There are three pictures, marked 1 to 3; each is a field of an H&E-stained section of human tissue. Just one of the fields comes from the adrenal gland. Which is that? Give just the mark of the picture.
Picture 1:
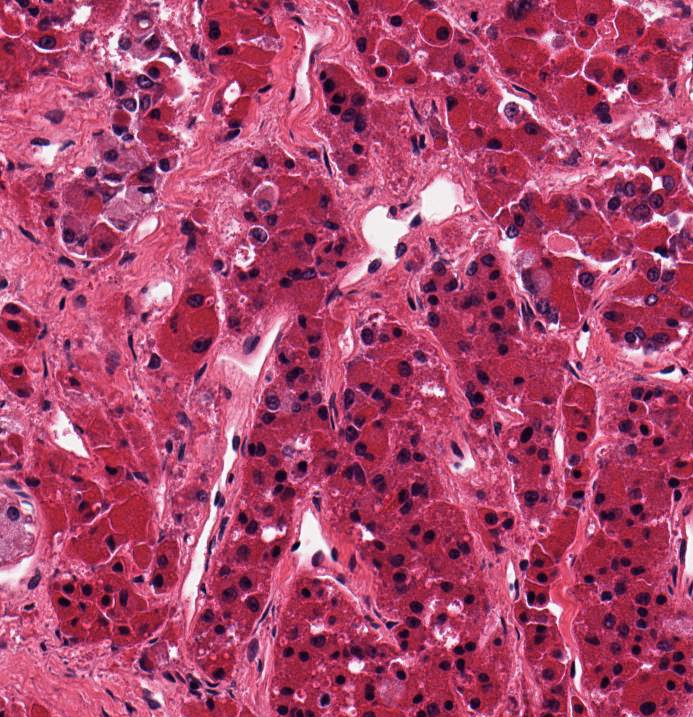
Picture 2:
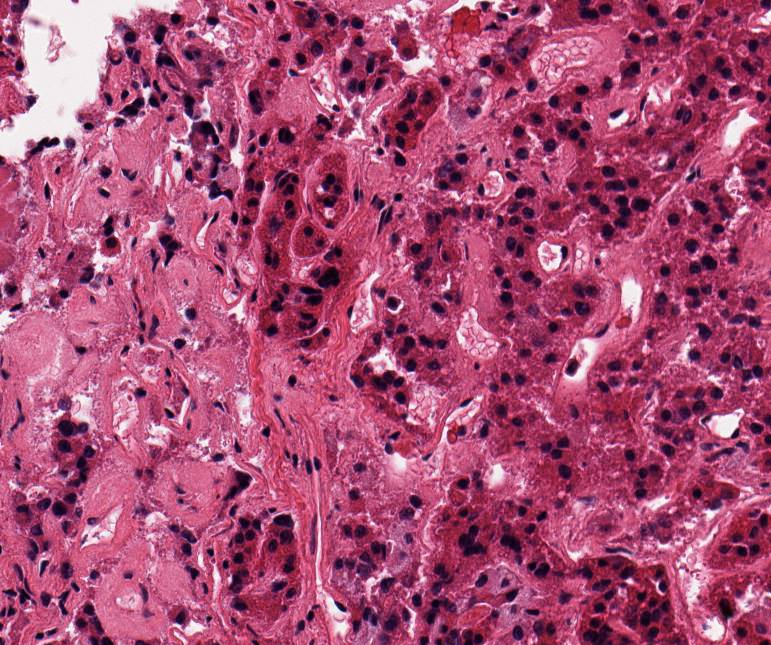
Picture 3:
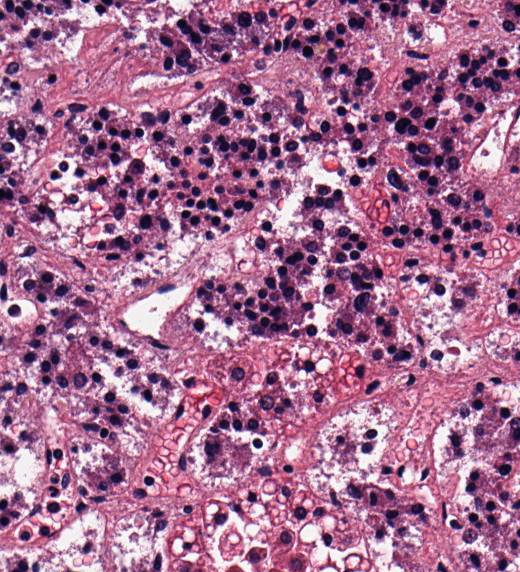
3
